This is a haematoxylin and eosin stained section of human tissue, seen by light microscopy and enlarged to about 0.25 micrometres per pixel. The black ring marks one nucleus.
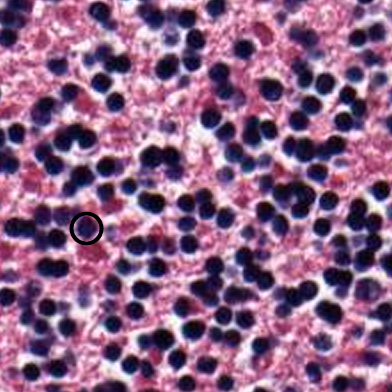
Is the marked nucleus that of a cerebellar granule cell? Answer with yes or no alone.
yes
